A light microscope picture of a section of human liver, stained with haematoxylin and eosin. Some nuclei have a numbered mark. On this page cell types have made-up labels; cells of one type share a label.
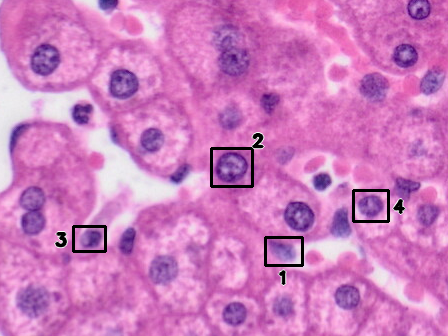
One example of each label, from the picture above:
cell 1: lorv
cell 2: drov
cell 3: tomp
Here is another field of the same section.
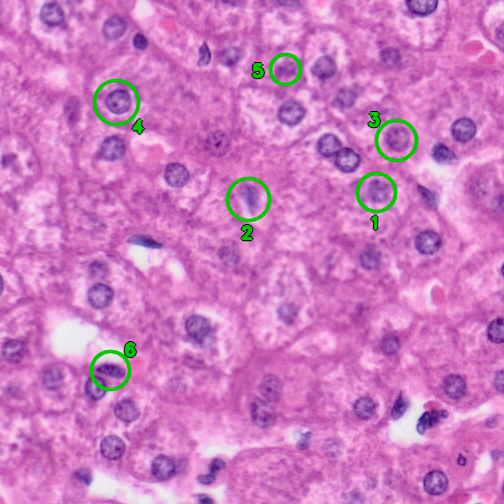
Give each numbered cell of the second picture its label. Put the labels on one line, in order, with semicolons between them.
drov; lorv; drov; drov; drov; tomp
